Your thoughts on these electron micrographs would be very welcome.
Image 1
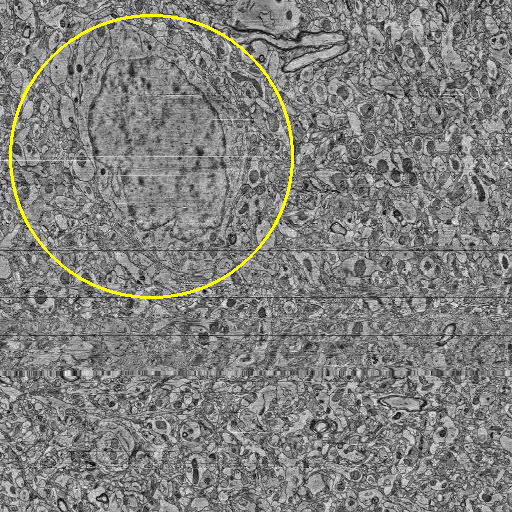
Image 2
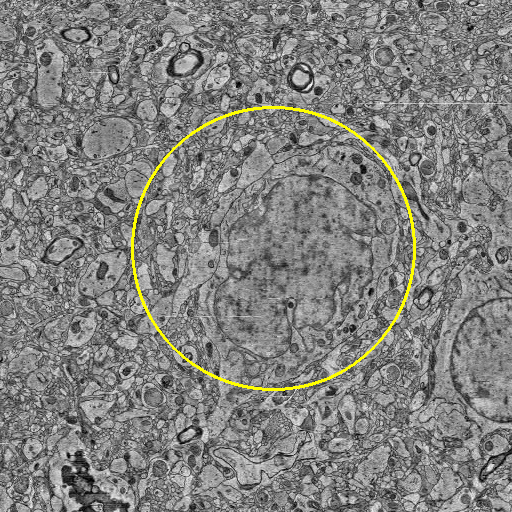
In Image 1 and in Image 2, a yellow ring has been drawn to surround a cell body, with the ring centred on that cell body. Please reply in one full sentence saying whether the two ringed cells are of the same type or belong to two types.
The ringed cells in Image 1 and Image 2 are of the same type.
